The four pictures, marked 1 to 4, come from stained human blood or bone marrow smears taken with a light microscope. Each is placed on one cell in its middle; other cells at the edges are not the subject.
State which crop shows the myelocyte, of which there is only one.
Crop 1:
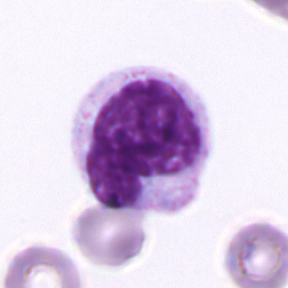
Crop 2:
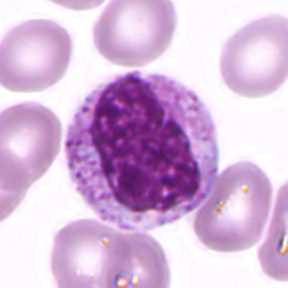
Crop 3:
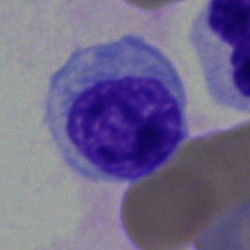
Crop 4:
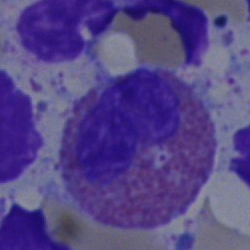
3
